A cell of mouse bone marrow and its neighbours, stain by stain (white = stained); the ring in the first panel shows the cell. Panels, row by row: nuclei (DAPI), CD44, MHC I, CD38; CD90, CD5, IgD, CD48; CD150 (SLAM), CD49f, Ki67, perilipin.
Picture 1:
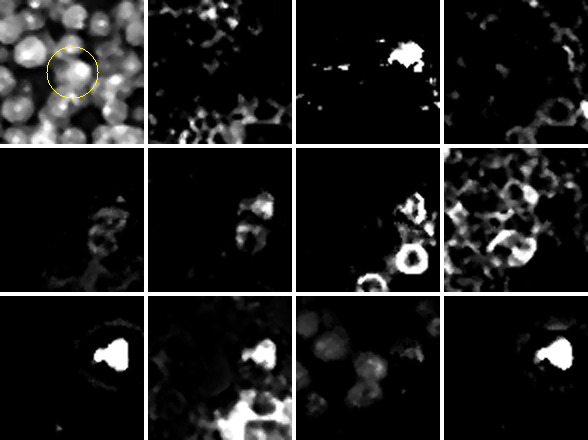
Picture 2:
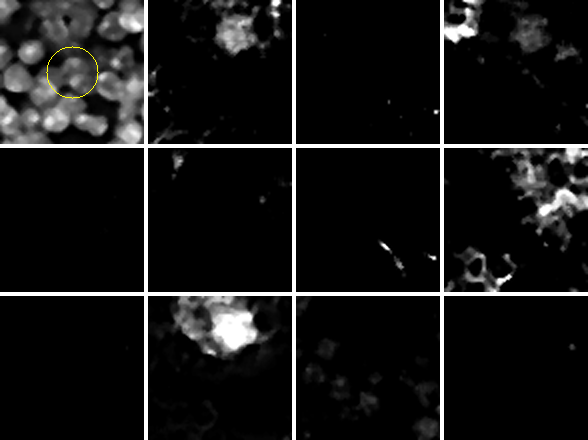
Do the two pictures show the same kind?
Yes, both are erythroblasts.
